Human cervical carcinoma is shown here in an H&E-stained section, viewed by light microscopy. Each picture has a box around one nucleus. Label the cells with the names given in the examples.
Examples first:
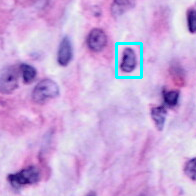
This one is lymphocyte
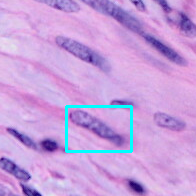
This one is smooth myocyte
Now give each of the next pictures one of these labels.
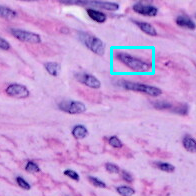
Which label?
smooth myocyte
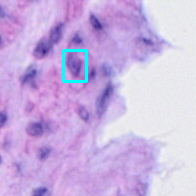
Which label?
smooth myocyte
